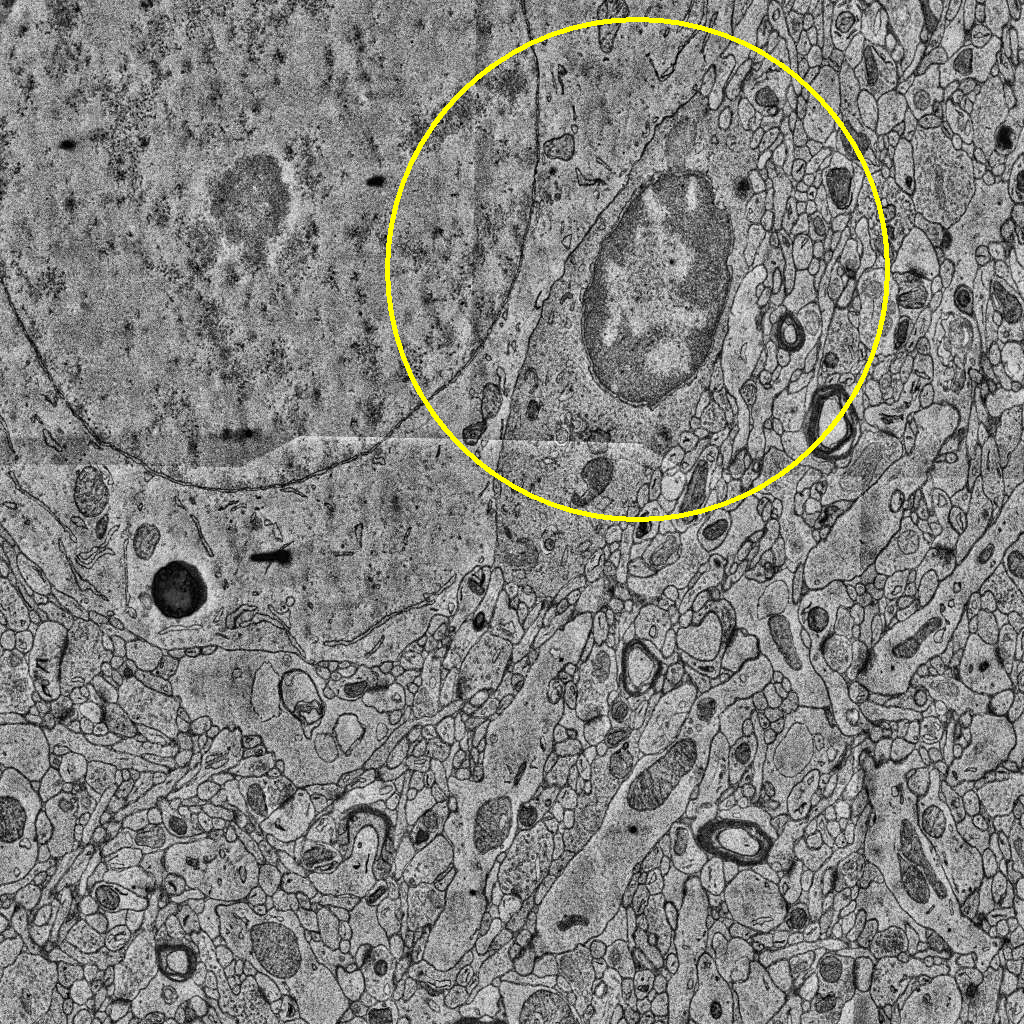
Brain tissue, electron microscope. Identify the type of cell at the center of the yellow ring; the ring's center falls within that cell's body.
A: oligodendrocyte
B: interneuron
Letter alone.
A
